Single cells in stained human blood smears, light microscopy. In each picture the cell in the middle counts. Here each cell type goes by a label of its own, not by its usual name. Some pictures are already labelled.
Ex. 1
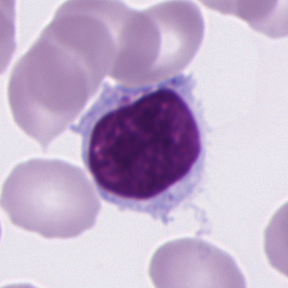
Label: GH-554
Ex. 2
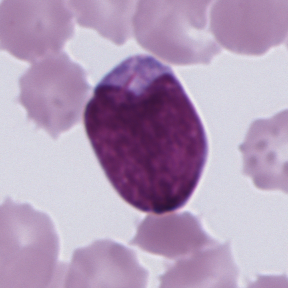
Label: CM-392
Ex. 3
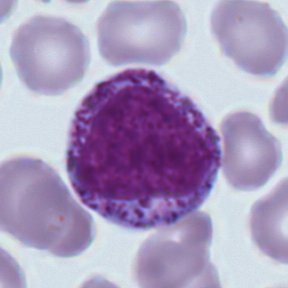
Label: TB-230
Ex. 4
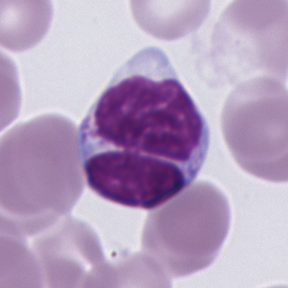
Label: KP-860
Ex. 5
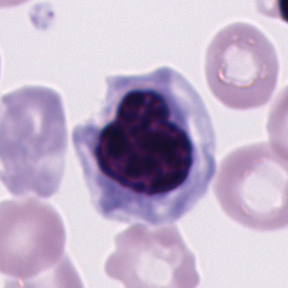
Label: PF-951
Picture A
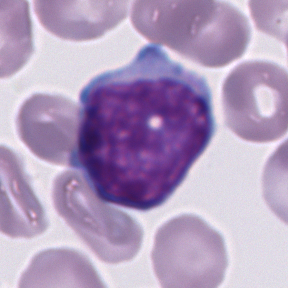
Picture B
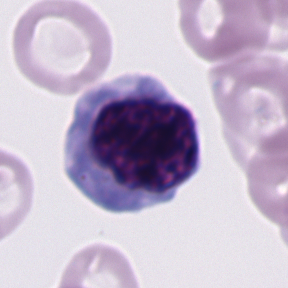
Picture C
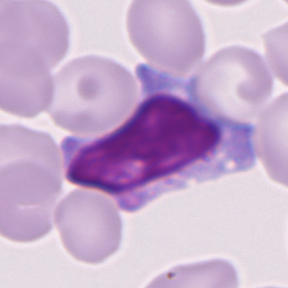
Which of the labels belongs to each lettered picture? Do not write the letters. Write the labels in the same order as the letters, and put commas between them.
CM-392, PF-951, GH-554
